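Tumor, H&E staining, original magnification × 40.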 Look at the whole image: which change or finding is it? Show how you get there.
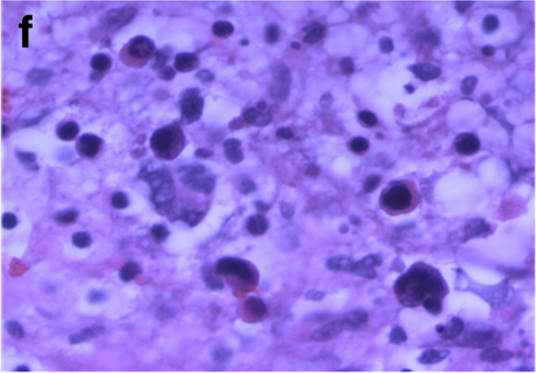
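Scattered shrunken cells with dense, very dark round nuclei. Some of these small cells have bright pink cytoplasm. Clear spaces surround several of the shrunken cells. So: apoptosis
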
